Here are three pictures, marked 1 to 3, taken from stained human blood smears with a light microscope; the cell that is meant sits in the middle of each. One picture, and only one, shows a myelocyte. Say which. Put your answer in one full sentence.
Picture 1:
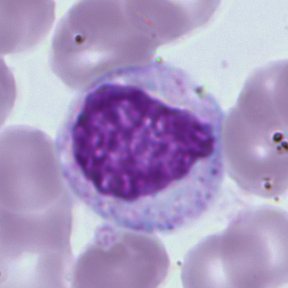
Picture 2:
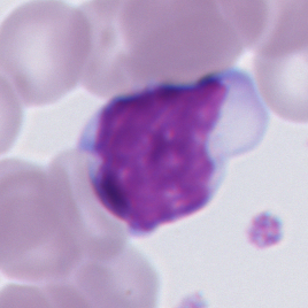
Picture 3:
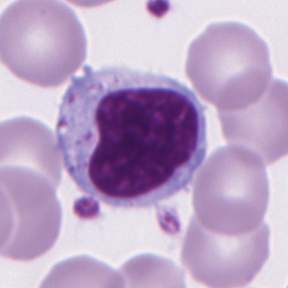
The cell in picture 1 is the myelocyte.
